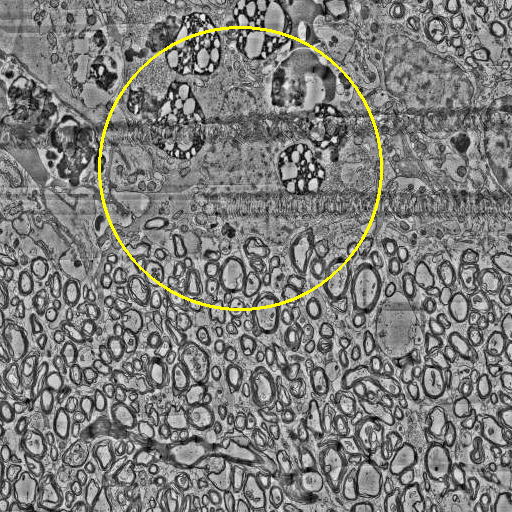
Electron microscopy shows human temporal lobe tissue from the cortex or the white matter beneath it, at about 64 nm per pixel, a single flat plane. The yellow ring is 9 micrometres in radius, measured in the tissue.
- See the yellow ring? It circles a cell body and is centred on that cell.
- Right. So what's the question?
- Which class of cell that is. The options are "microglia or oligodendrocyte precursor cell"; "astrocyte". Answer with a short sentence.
The centre of the ring holds an astrocyte.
